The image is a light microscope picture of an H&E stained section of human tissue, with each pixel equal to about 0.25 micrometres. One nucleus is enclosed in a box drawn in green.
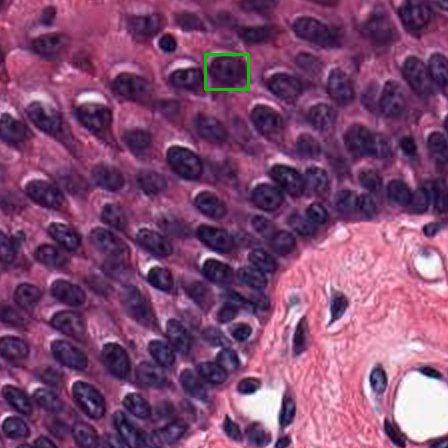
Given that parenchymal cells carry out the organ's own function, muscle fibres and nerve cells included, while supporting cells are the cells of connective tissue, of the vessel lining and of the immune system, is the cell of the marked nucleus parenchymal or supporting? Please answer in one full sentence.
In this section the marked nucleus belongs to a parenchymal cell, namely a squamous epithelial cell.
